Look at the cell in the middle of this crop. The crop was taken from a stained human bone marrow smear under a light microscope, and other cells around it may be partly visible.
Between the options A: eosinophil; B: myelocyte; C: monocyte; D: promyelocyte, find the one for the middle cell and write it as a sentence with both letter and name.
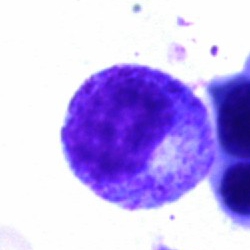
The centrally positioned cell is a myelocyte, consistent with option B, which is correct.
